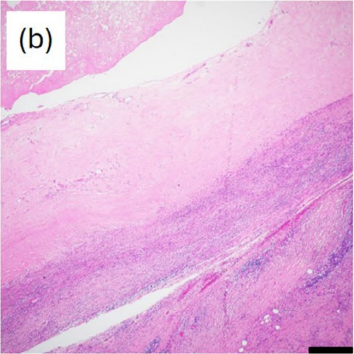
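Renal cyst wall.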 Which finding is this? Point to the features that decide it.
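A broad band of pale, glassy, homogeneous pink tissue with few nuclei. Below it a more cellular band with purple nuclei.
Answer: hyaline degeneration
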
